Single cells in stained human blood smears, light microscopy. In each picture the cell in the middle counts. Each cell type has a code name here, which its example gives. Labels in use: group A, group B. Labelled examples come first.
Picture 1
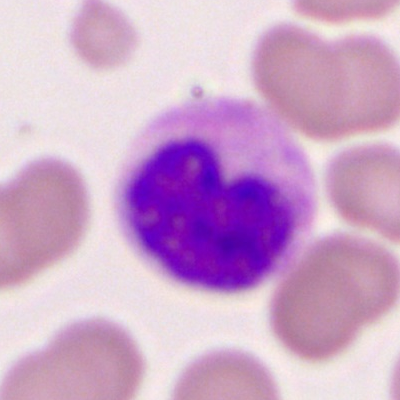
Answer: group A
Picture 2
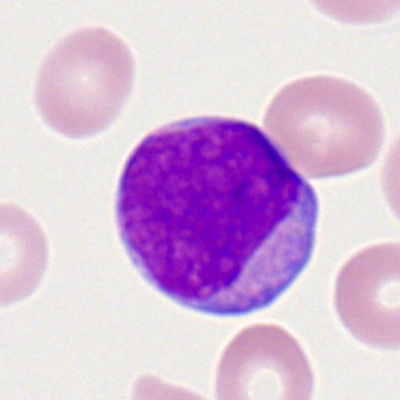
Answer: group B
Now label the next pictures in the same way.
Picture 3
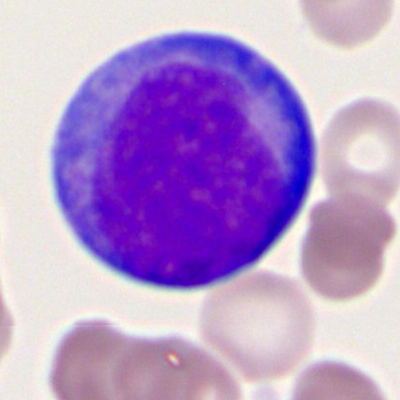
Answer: group B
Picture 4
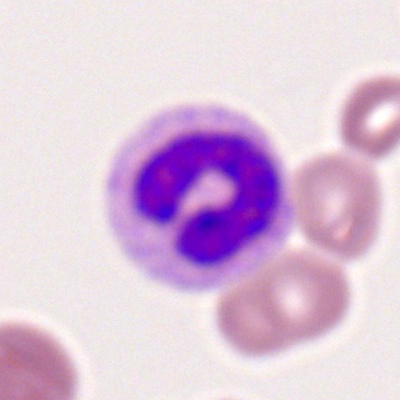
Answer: group A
